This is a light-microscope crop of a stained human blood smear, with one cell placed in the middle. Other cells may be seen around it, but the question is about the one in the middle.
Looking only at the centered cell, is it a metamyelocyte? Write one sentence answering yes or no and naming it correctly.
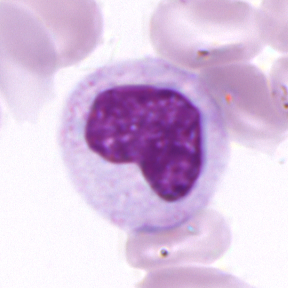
Yes, the cell at the centre is designated a metamyelocyte.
